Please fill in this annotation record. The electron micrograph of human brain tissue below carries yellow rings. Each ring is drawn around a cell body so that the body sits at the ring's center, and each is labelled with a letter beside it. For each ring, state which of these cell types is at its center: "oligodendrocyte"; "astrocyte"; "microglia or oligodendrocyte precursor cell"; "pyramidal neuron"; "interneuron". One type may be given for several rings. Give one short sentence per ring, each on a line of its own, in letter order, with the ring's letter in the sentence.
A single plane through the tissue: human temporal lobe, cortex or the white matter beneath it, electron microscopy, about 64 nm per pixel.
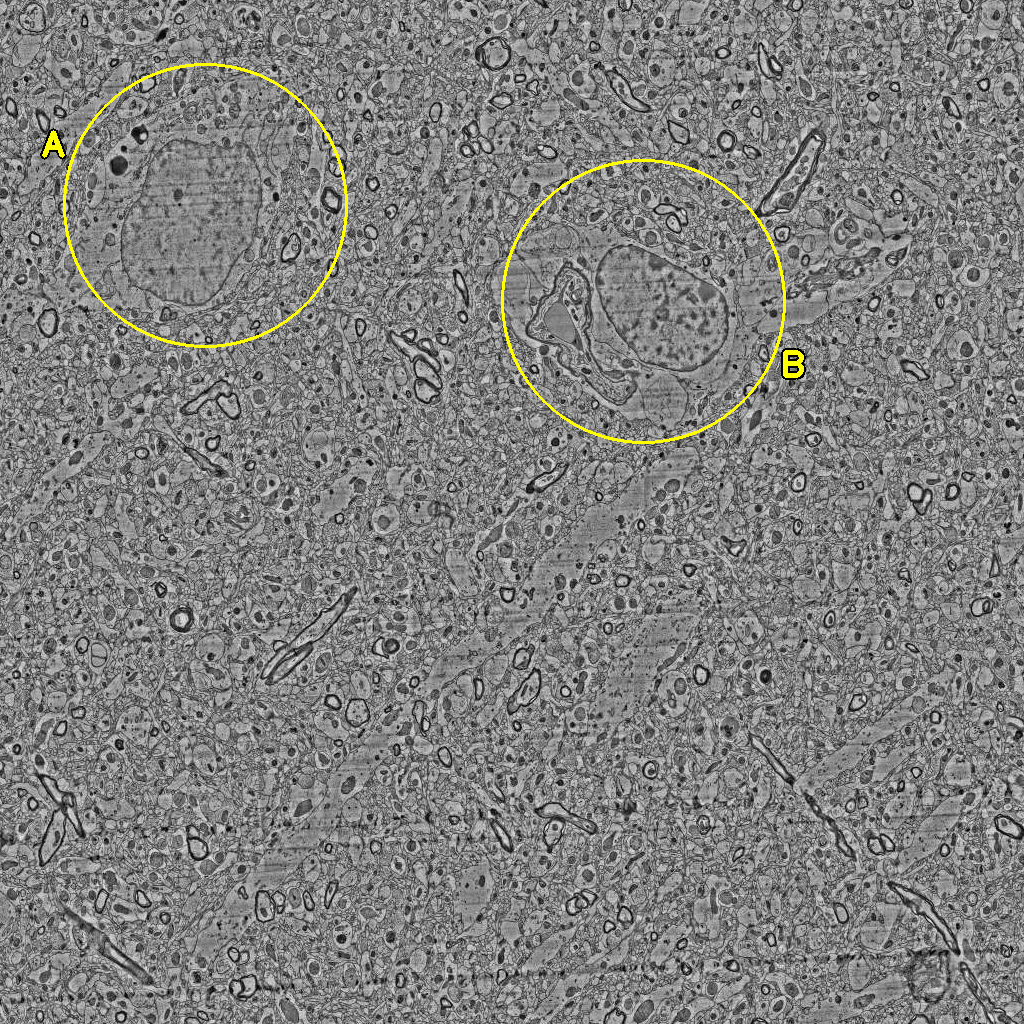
Ring A is drawn around an interneuron.
Ring B is drawn around a microglial cell or oligodendrocyte precursor cell.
